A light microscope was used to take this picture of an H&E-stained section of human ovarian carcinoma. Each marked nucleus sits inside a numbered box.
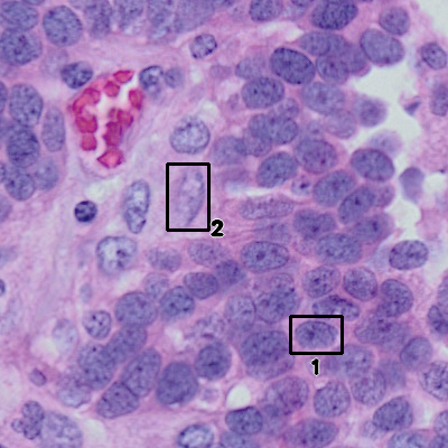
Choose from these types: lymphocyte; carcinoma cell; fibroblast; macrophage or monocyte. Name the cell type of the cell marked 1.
carcinoma cell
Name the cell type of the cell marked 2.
fibroblast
